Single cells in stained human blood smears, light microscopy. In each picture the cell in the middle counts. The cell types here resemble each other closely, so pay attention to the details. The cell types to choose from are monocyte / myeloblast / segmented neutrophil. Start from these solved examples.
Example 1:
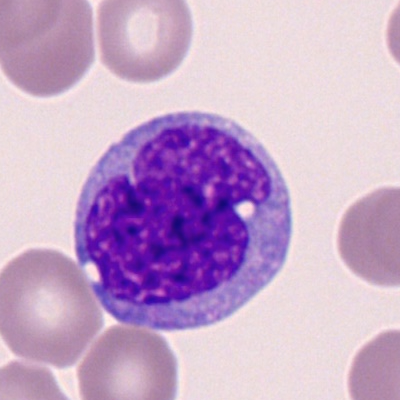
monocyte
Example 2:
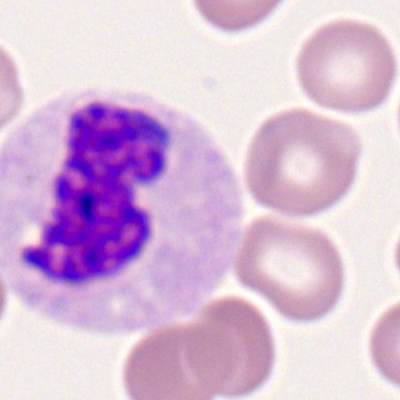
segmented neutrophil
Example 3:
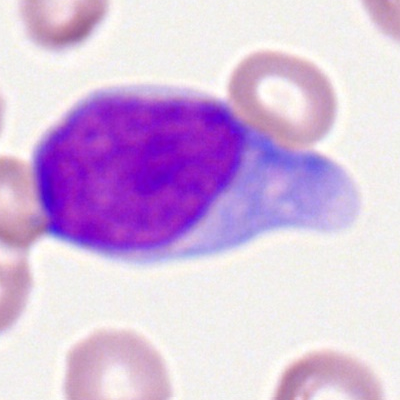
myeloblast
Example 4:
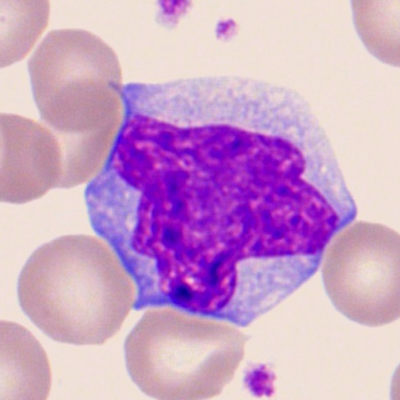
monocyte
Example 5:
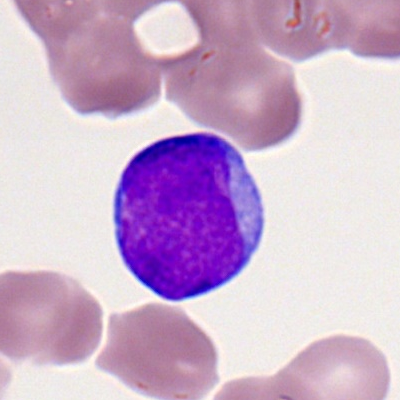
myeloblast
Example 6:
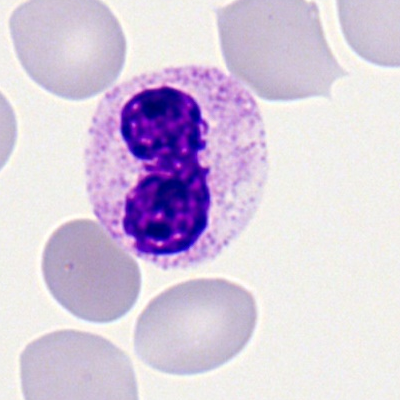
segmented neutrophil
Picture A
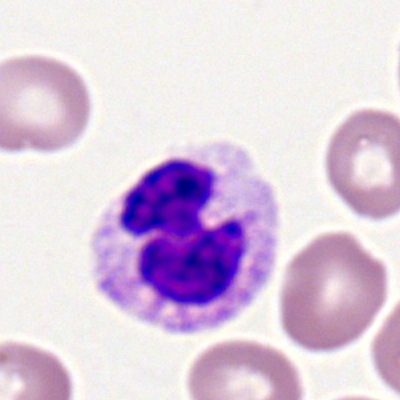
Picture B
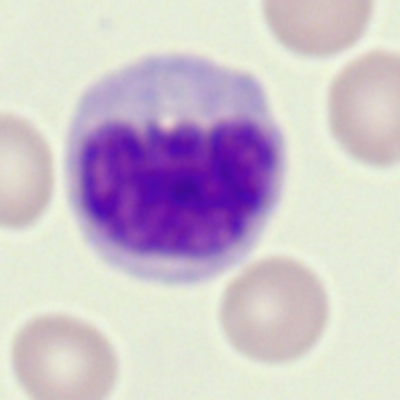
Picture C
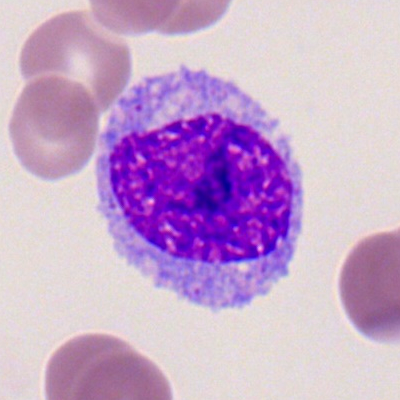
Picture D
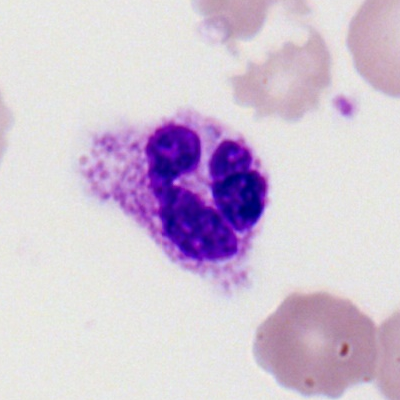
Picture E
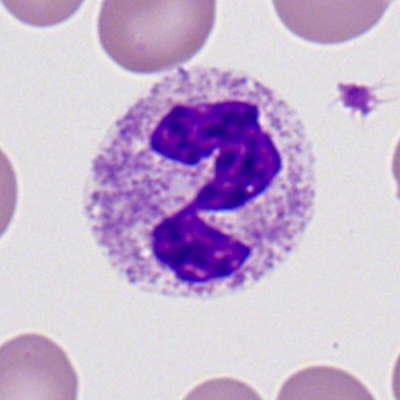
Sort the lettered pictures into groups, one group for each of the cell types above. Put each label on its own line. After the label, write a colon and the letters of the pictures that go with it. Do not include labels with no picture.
monocyte: B, C
segmented neutrophil: A, D, E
